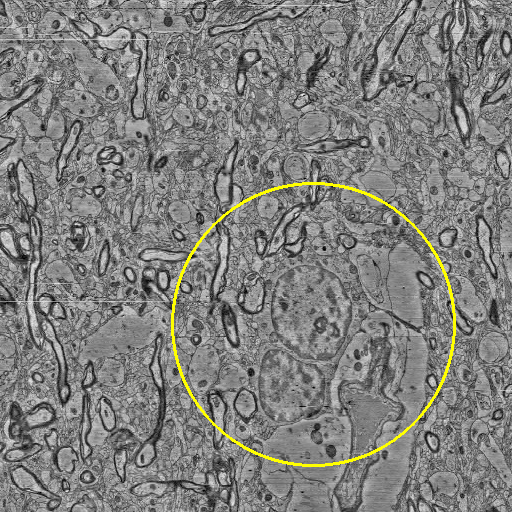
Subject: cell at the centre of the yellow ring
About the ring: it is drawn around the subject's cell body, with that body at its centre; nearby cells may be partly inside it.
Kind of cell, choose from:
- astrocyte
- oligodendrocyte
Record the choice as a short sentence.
The subject cell is an oligodendrocyte.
